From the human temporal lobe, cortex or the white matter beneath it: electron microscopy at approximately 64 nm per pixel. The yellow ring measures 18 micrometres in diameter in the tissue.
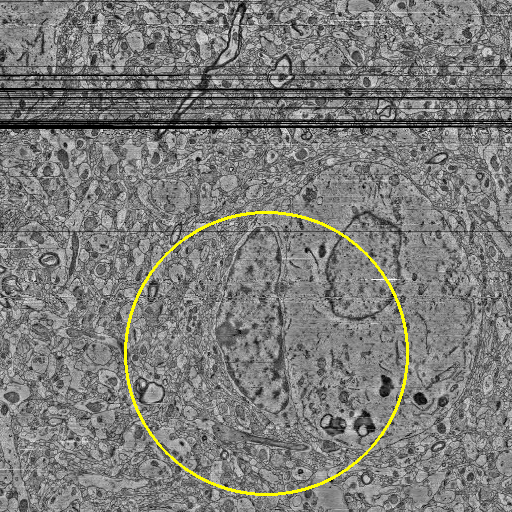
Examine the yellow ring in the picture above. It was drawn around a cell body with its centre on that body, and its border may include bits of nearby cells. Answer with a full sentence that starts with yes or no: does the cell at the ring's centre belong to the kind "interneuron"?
No, the cell at the heart of the ring shown in the image is a different kind of cell.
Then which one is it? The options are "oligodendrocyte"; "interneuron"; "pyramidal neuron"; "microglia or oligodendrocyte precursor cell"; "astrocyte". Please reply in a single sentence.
It is a microglial cell or oligodendrocyte precursor cell at the centre of the ring.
